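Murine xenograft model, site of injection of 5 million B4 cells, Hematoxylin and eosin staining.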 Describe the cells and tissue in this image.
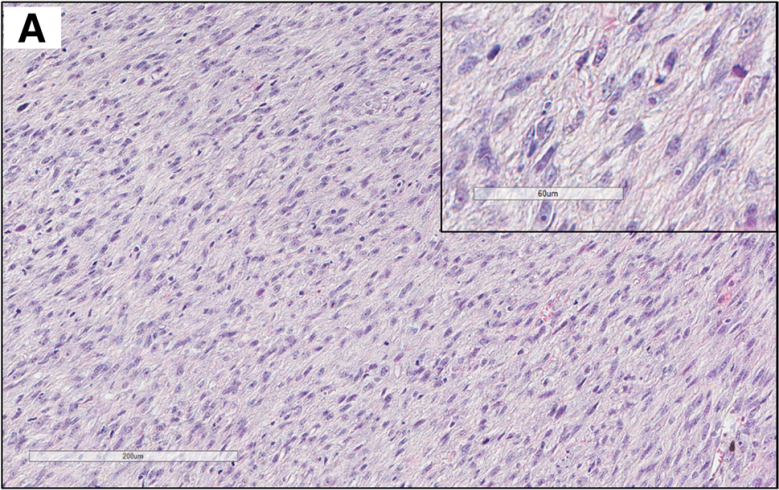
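A sarcoma composed of neoplastic spindle-shaped cells arranged in long streams and bundles that sweep diagonally across the field. The cells have pale pink, foamy to finely fibrillar cytoplasm with indistinct borders. Nuclei are oval to elongate, purple, with finely stippled chromatin; at higher magnification in the inset several nuclei show one or more distinct nucleoli, and nuclear size varies moderately from cell to cell.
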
